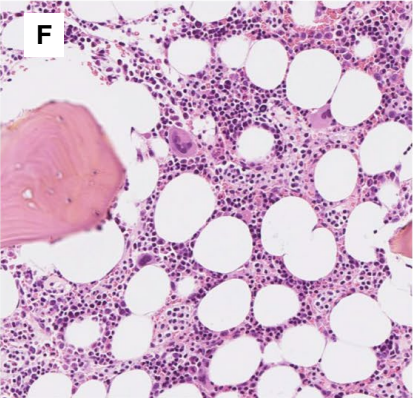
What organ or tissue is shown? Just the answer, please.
Bone marrow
